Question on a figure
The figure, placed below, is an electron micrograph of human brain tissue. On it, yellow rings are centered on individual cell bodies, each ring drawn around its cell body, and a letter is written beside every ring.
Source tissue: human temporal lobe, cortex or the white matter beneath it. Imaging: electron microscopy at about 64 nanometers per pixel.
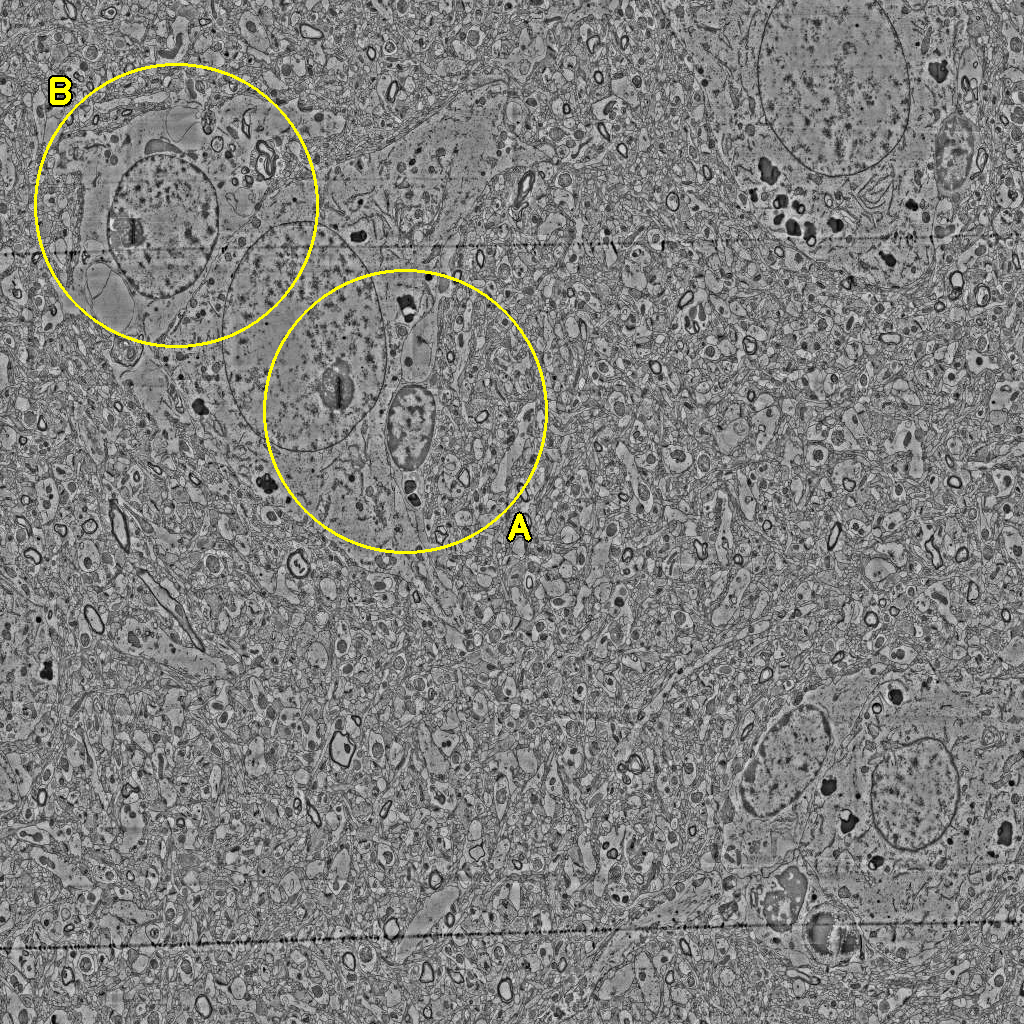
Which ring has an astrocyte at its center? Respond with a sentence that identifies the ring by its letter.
The ring marked B has it at its center.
